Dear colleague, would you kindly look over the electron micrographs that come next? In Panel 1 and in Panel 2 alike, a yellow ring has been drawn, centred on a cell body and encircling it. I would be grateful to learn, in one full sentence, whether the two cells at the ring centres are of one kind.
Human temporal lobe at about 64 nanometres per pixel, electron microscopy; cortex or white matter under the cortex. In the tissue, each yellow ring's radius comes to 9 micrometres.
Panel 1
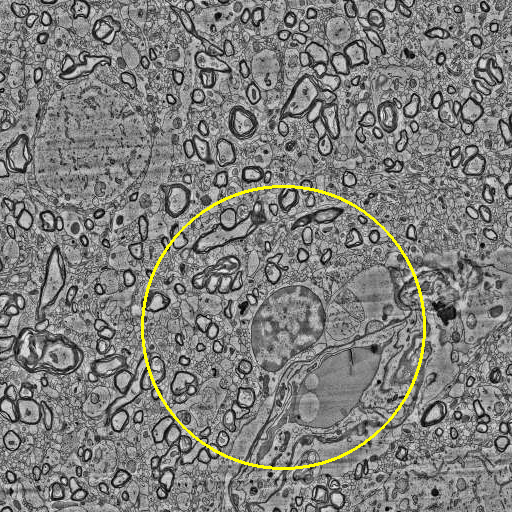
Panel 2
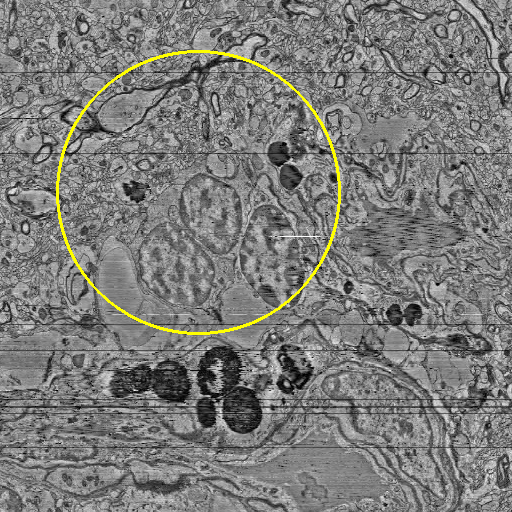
No, the cells in the middle of the rings in the two panels are of two kinds.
